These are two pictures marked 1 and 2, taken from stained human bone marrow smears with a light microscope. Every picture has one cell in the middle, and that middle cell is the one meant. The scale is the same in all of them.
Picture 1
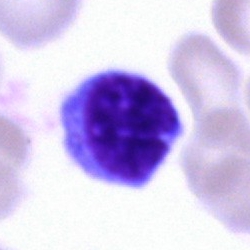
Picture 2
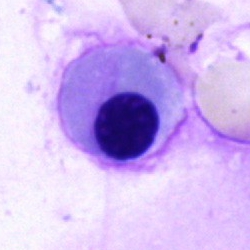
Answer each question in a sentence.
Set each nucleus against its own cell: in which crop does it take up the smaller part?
The nucleus fills less of the cell in picture 2 than in picture 1.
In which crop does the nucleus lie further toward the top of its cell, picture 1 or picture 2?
Seen within its cell, the nucleus in picture 1 lies further toward the top.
